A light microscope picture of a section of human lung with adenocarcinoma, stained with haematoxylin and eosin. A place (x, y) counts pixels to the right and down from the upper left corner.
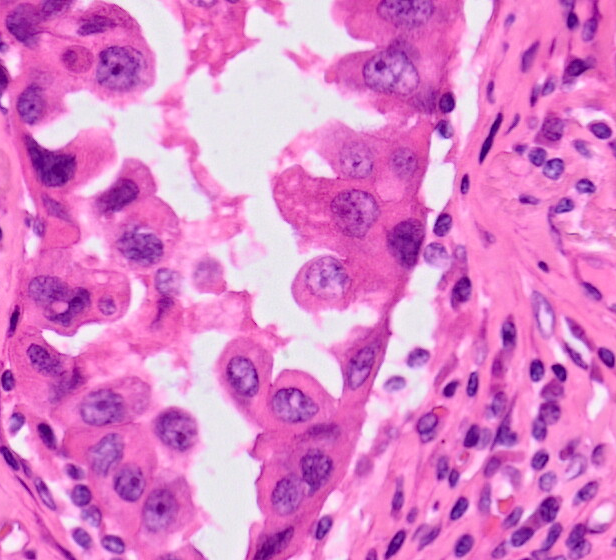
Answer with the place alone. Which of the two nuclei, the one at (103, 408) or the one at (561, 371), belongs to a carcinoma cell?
(103, 408)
